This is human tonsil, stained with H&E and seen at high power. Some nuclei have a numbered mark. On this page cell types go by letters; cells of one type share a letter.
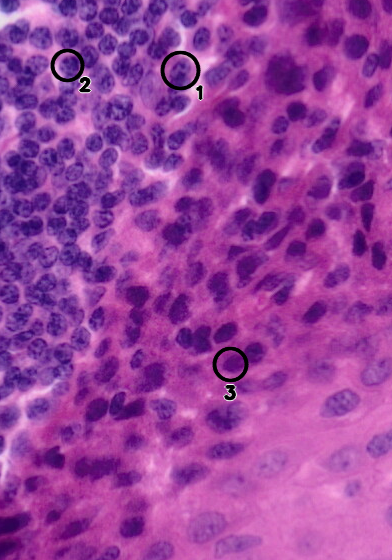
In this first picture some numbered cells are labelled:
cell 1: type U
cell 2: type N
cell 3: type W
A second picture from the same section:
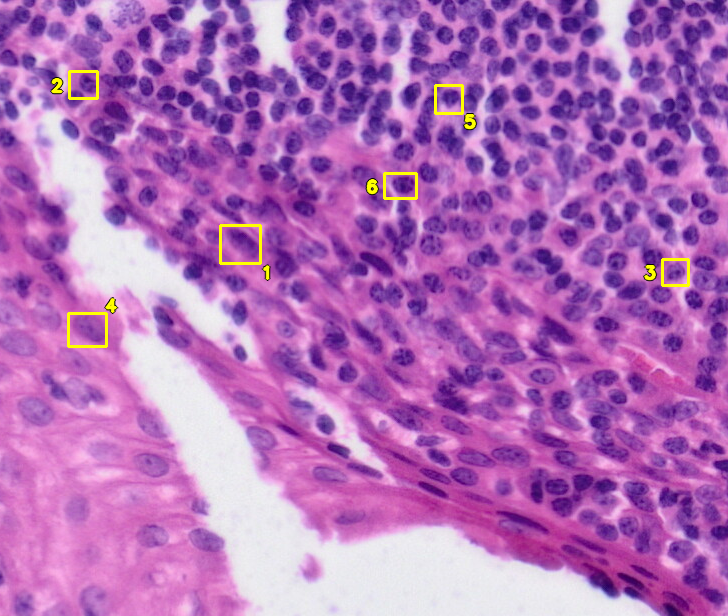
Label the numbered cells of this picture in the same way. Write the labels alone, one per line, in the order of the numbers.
type W
type U
type U
type W
type N
type U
